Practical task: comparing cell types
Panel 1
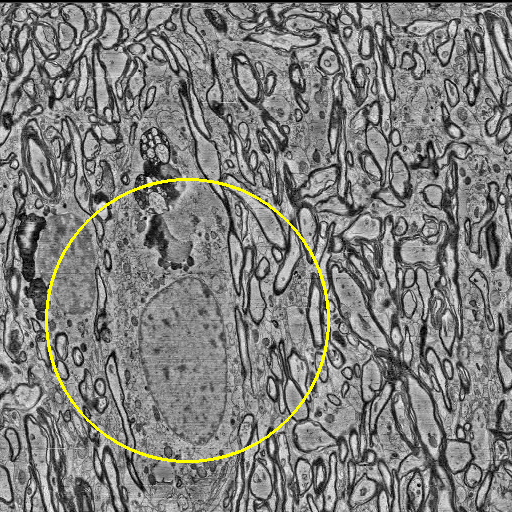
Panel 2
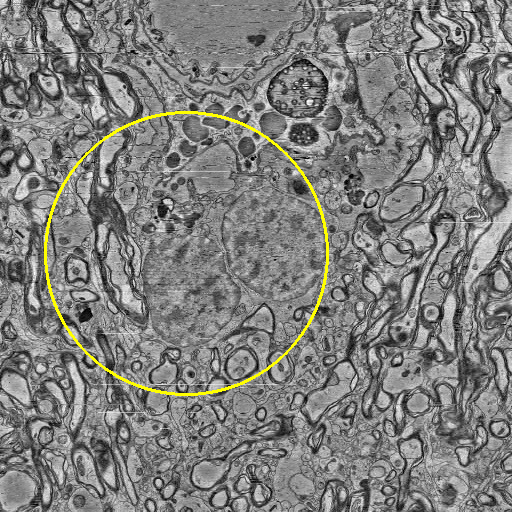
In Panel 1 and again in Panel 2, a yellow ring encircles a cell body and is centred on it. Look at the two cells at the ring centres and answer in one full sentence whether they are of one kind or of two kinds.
The two cells sitting at the ring centres of Panels 1 and 2 are of two kinds.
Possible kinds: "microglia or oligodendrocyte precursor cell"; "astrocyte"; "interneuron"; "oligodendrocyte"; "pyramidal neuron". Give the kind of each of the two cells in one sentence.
The cell in the second picture is an oligodendrocyte, and that in the first is an astrocyte.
